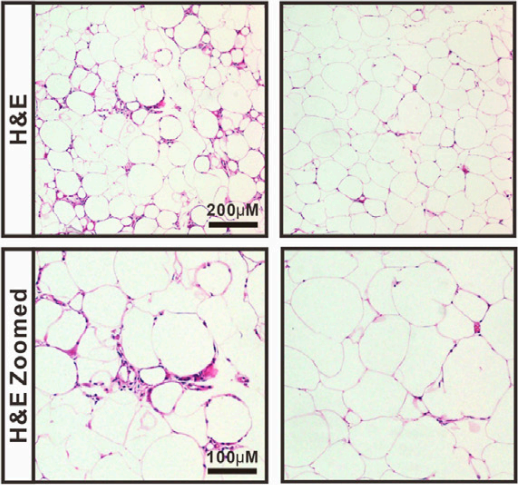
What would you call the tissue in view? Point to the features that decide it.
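Large, round to polygonal cells with empty, unstained interiors. Each cell is bounded by a thin pink rim. Few flattened nuclei are pressed against the cell edges.
Hence: white adipose tissue.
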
